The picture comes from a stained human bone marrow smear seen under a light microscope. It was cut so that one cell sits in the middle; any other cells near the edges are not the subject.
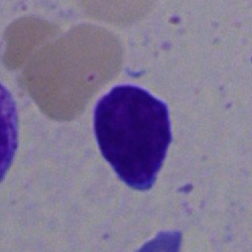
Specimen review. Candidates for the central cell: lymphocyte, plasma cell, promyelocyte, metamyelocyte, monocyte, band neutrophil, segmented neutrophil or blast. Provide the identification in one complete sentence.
The target cell in the middle of the crop is a lymphocyte.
